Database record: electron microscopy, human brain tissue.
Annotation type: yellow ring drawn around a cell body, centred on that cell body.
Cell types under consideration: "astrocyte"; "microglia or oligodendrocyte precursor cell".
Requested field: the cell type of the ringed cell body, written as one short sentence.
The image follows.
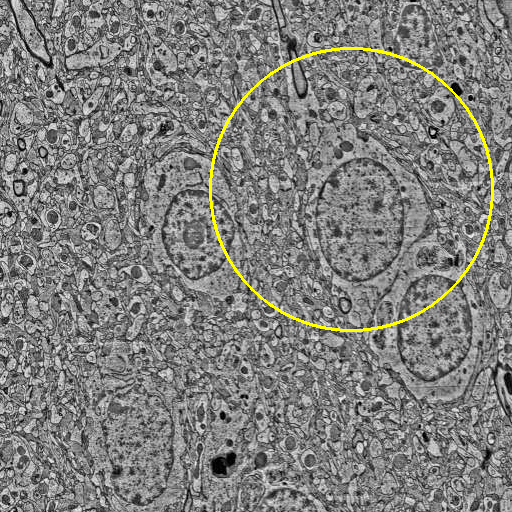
The ringed cell body represents an astrocyte.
